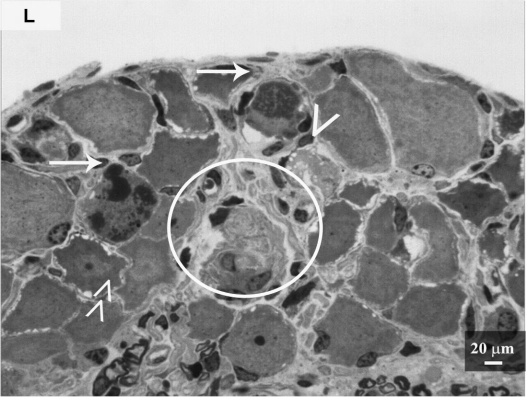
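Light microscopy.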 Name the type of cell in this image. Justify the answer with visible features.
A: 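Large rounded cell bodies with abundant grey cytoplasm fill the section. Some show a round nucleus with a dark nucleolus. Each large cell is ringed by small flattened cells with dark nuclei.
Conclusion: sensory neurons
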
